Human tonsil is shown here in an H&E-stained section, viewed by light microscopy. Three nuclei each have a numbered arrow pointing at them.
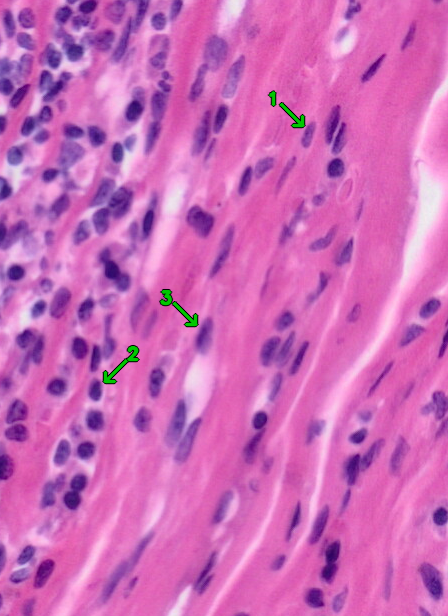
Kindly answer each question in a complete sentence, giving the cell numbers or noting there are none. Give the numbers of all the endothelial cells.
Nothing but cell 3 is an endothelial cell among the numbered ones.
